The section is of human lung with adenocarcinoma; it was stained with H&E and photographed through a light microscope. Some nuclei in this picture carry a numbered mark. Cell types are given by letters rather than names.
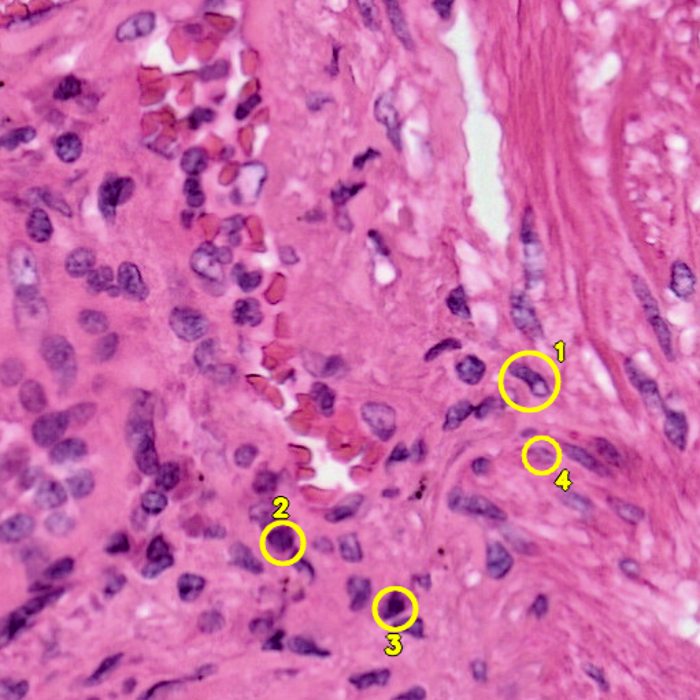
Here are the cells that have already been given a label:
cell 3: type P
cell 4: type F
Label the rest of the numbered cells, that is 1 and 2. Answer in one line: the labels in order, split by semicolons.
type F; type P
